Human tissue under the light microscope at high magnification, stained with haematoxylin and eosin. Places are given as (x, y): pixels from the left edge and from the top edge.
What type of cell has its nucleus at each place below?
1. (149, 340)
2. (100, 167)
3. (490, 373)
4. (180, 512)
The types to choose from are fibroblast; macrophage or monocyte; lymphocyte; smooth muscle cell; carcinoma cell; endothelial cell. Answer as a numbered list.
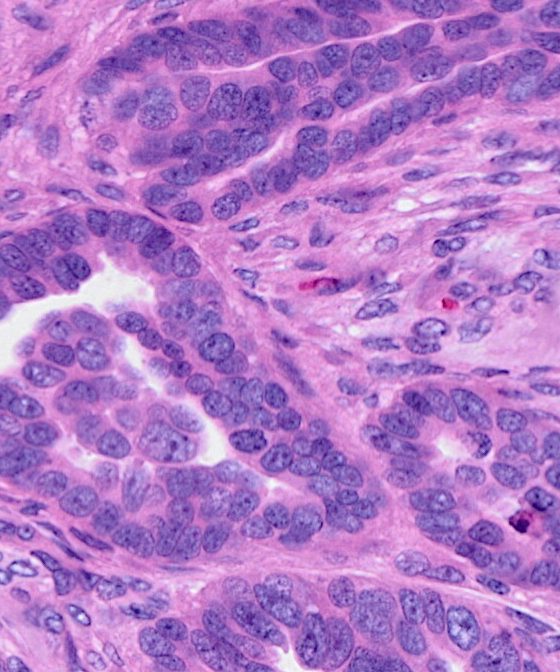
1. carcinoma cell
2. fibroblast
3. fibroblast
4. carcinoma cell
